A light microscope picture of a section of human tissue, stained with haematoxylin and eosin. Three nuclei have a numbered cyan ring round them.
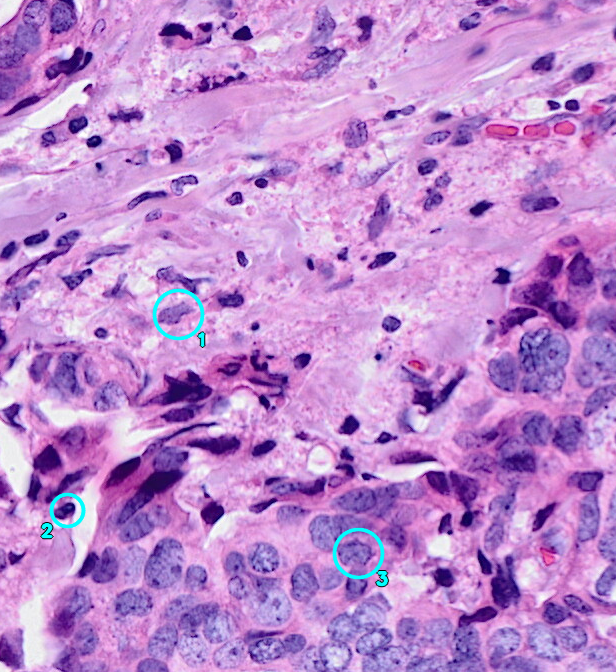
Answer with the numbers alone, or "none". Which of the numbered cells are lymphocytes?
2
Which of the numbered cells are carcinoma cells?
3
